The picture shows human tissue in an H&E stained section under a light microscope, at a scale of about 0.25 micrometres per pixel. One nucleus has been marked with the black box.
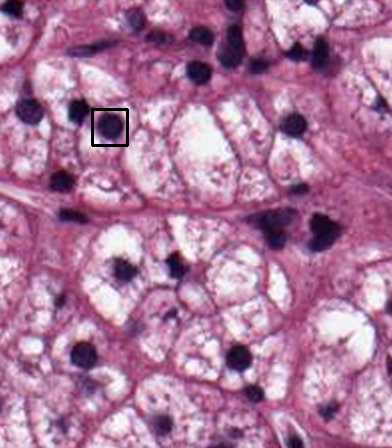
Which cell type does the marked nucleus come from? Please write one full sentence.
Located in an adrenal cortical cell is the marked nucleus.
